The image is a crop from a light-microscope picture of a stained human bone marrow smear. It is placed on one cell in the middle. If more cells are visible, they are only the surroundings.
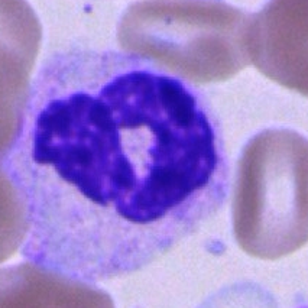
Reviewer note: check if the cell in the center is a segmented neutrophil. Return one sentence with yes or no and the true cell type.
Yes, the cell shown centrally is a segmented neutrophil.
